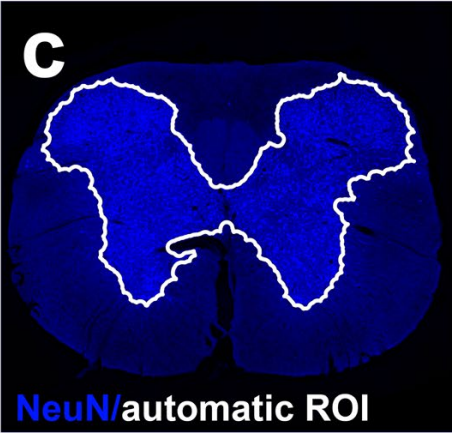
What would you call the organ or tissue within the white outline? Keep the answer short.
spinal cord grey matter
